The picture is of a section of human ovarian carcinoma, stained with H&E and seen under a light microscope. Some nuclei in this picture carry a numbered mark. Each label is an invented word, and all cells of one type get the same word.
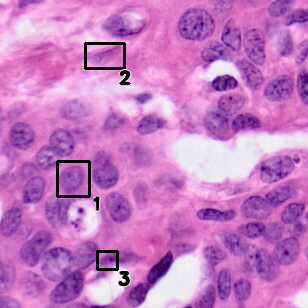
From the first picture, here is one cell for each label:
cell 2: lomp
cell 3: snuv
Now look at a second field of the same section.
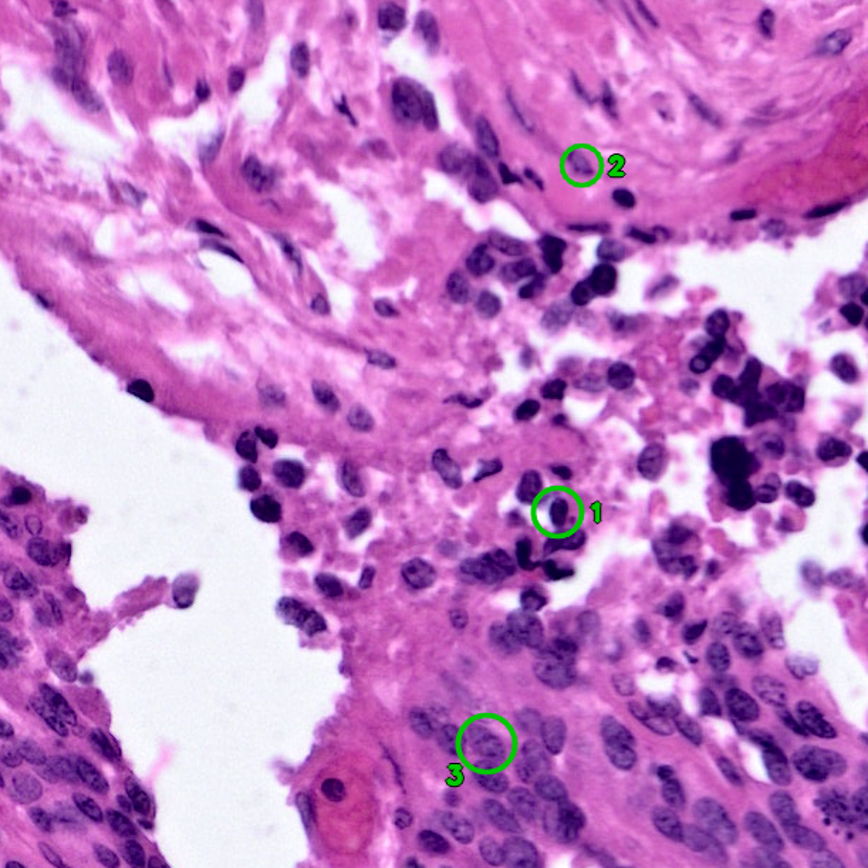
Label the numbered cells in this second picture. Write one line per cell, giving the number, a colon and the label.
1: snuv
2: lomp
3: snuv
